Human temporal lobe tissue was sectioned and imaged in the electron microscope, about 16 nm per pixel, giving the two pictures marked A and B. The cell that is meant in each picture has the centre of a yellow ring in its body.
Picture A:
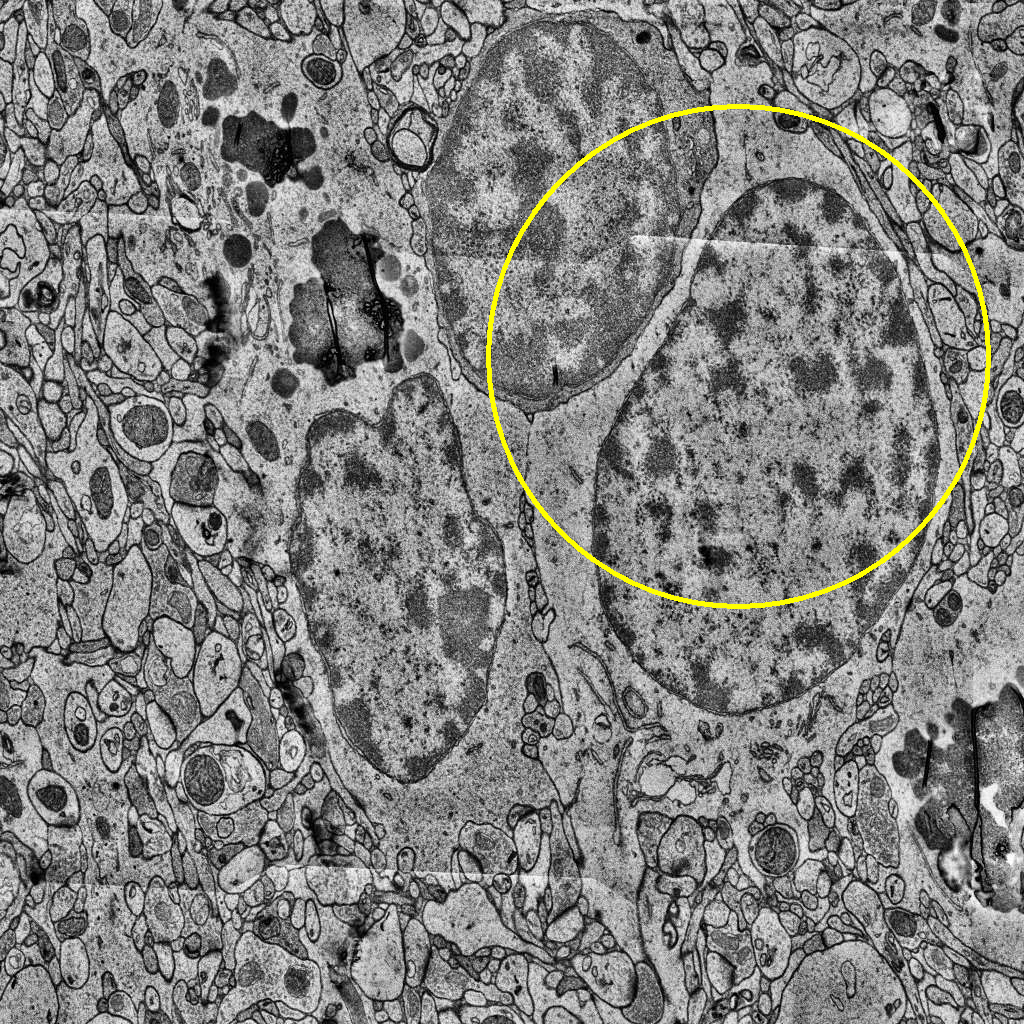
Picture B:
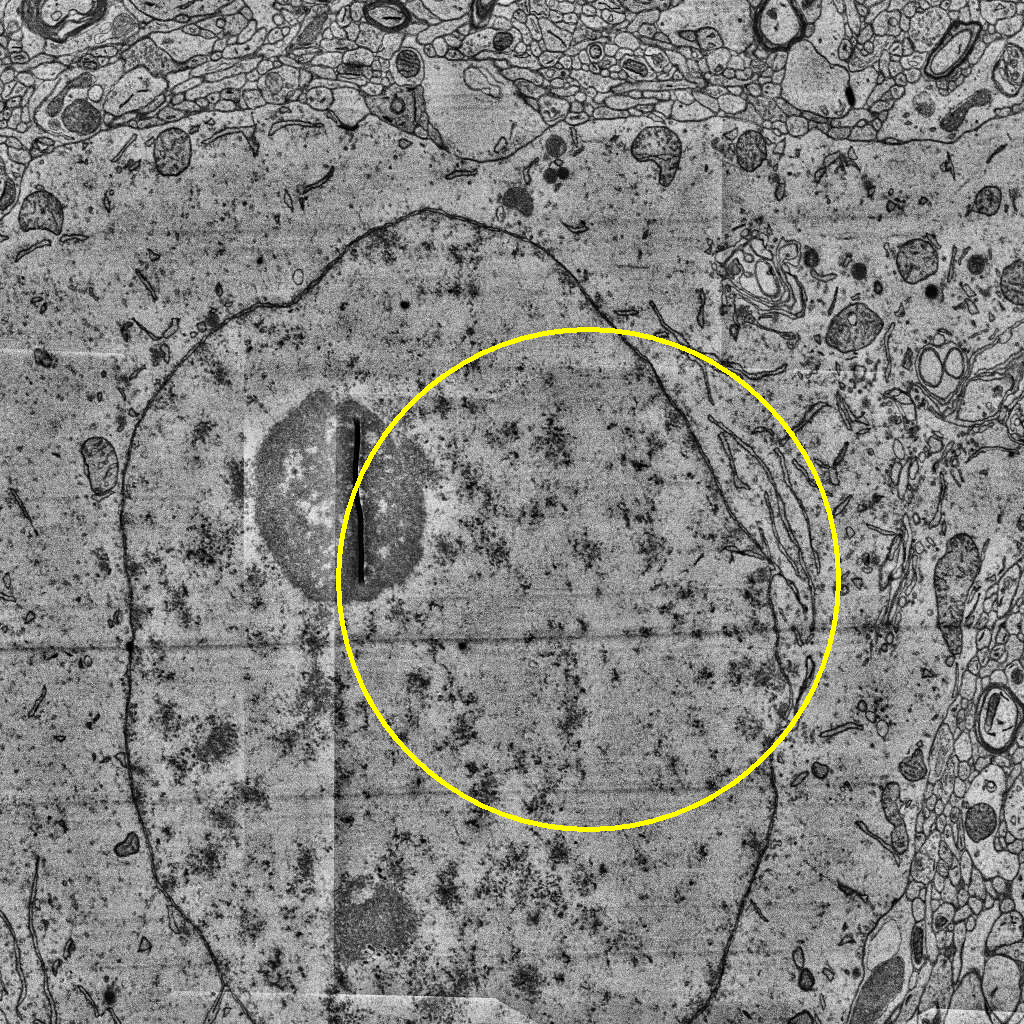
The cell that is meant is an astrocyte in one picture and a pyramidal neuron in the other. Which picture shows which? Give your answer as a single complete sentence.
Picture A shows an astrocyte and picture B shows a pyramidal neuron.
